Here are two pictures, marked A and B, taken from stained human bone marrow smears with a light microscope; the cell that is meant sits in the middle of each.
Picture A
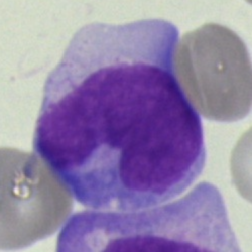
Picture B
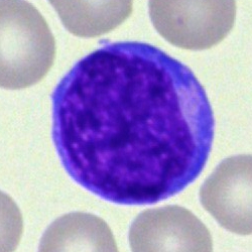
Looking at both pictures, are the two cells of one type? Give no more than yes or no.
yes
